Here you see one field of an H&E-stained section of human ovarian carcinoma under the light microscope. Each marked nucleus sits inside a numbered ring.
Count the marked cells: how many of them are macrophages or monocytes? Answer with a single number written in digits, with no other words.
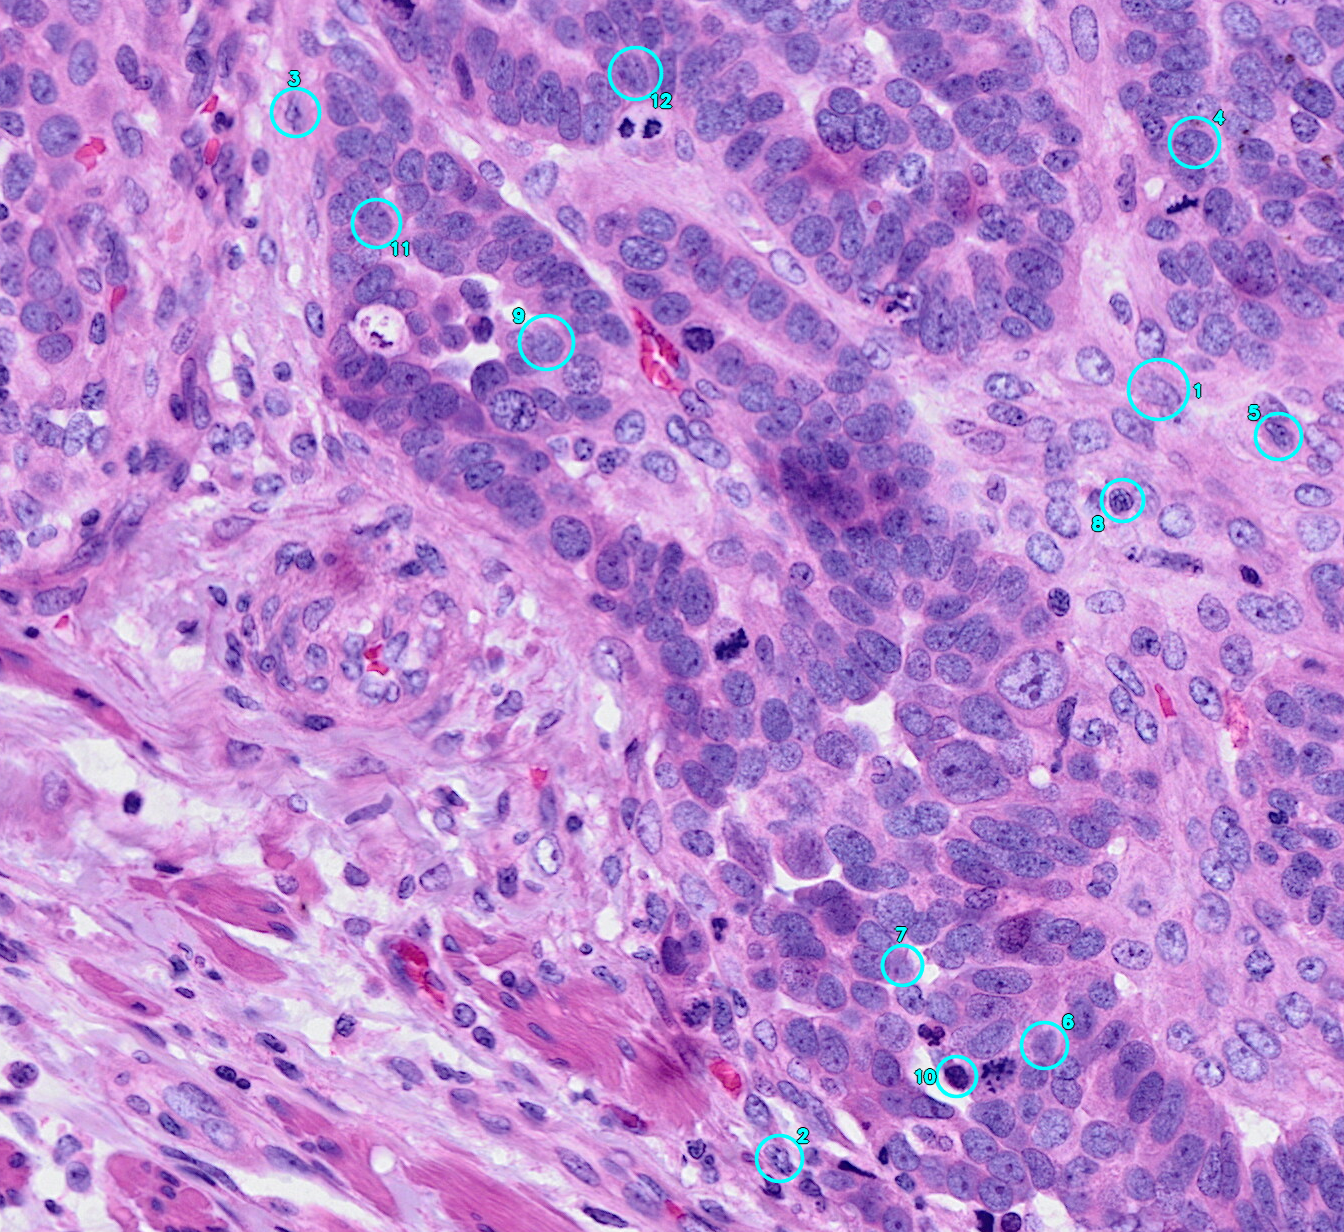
1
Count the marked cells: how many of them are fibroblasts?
2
